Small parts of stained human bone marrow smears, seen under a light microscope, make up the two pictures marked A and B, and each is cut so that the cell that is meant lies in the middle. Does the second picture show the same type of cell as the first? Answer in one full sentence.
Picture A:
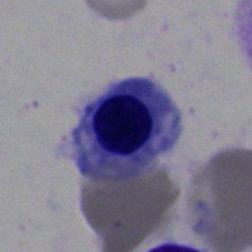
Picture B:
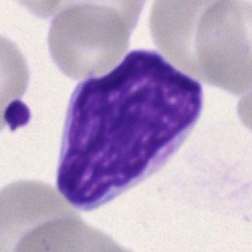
No. Picture A shows an erythroblast, but picture B shows a blast.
